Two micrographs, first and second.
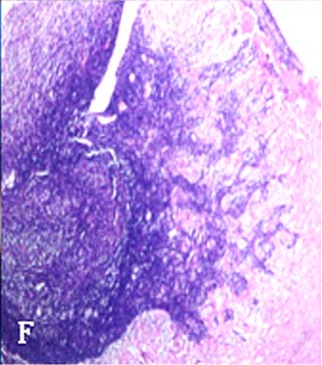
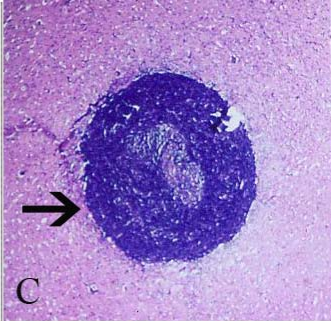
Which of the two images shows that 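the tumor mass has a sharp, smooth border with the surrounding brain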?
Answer: the second image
